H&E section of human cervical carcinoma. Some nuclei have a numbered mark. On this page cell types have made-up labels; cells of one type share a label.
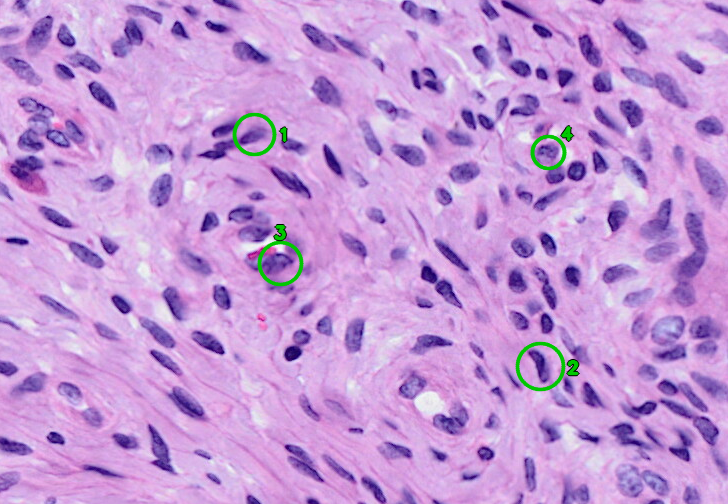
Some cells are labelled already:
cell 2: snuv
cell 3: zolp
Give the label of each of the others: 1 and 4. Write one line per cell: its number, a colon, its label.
1: snuv
4: zolp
